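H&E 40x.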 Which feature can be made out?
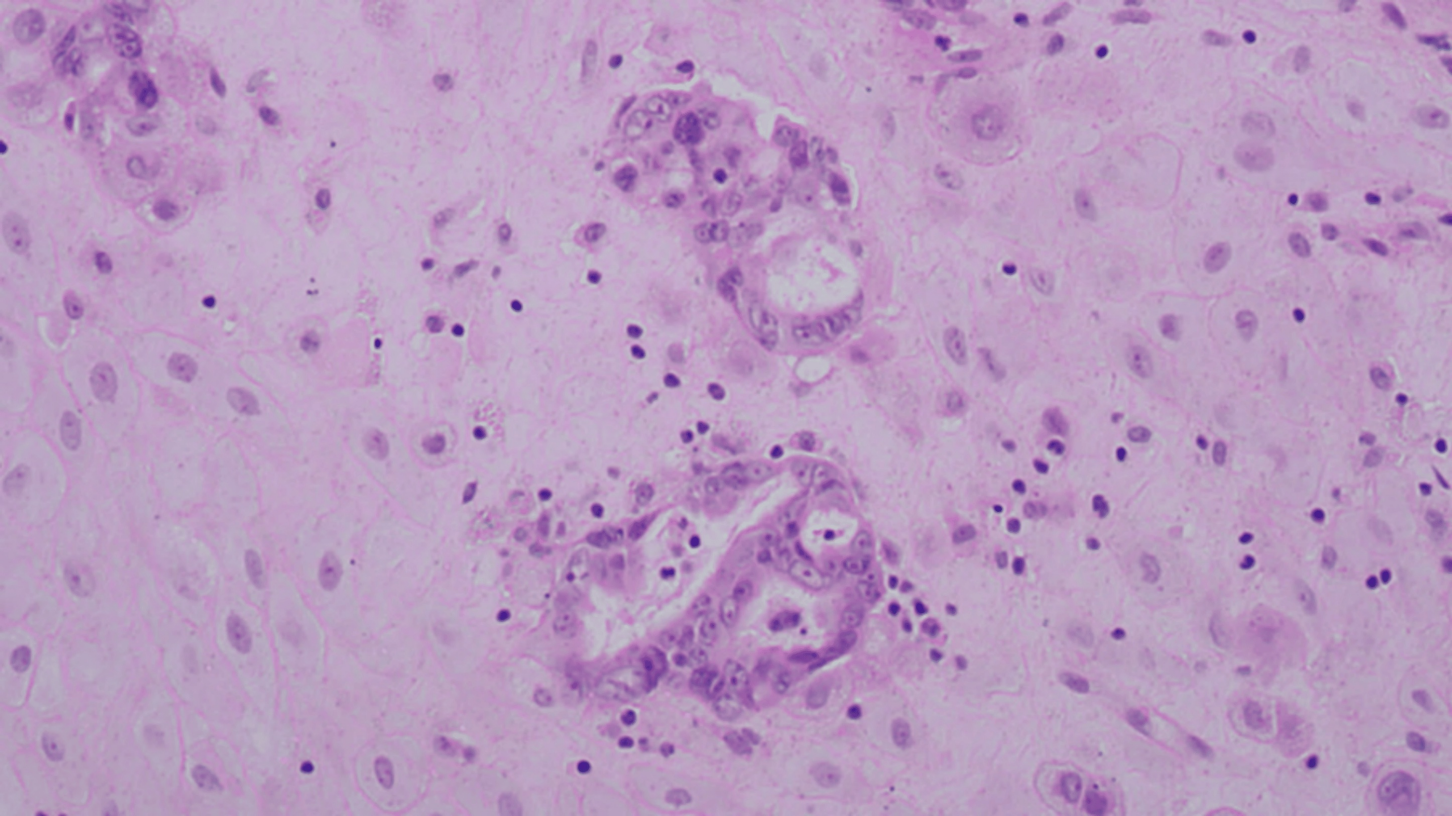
fused irregular abortive glands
